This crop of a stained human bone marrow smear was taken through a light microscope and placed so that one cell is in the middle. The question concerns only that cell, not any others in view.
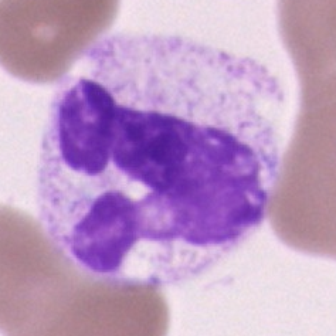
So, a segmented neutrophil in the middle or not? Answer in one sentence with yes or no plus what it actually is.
Yes, the middle cell in this crop is a segmented neutrophil.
